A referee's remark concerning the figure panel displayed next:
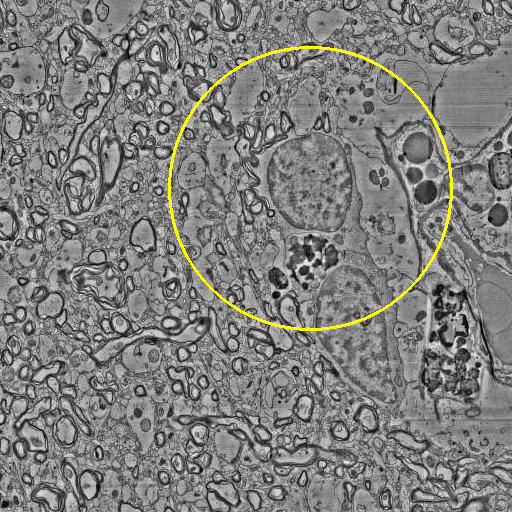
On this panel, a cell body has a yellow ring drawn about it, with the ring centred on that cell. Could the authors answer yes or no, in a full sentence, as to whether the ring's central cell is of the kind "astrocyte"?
No, the cell sitting at the middle of the ring on this panel belongs to a different kind.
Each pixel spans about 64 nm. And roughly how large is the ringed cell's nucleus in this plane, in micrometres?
The nucleus is about 6 micrometres across in this plane.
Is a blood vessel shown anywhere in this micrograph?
Yes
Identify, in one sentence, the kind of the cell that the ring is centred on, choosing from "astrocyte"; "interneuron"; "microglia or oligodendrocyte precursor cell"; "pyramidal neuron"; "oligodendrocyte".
The cell at the ring centre is an oligodendrocyte.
